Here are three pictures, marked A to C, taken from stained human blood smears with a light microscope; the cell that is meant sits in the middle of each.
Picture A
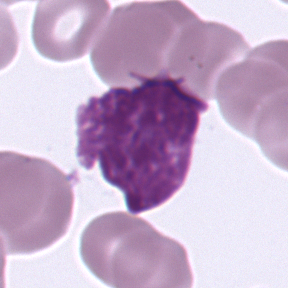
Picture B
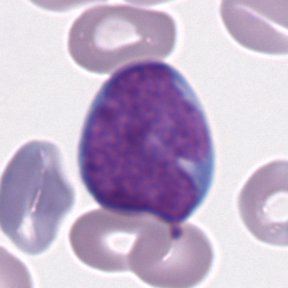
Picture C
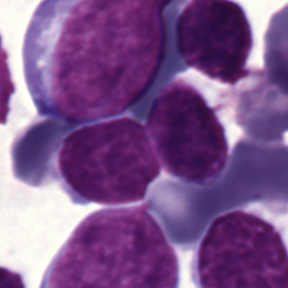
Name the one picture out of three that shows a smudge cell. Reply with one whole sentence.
It is picture A that shows the smudge cell.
